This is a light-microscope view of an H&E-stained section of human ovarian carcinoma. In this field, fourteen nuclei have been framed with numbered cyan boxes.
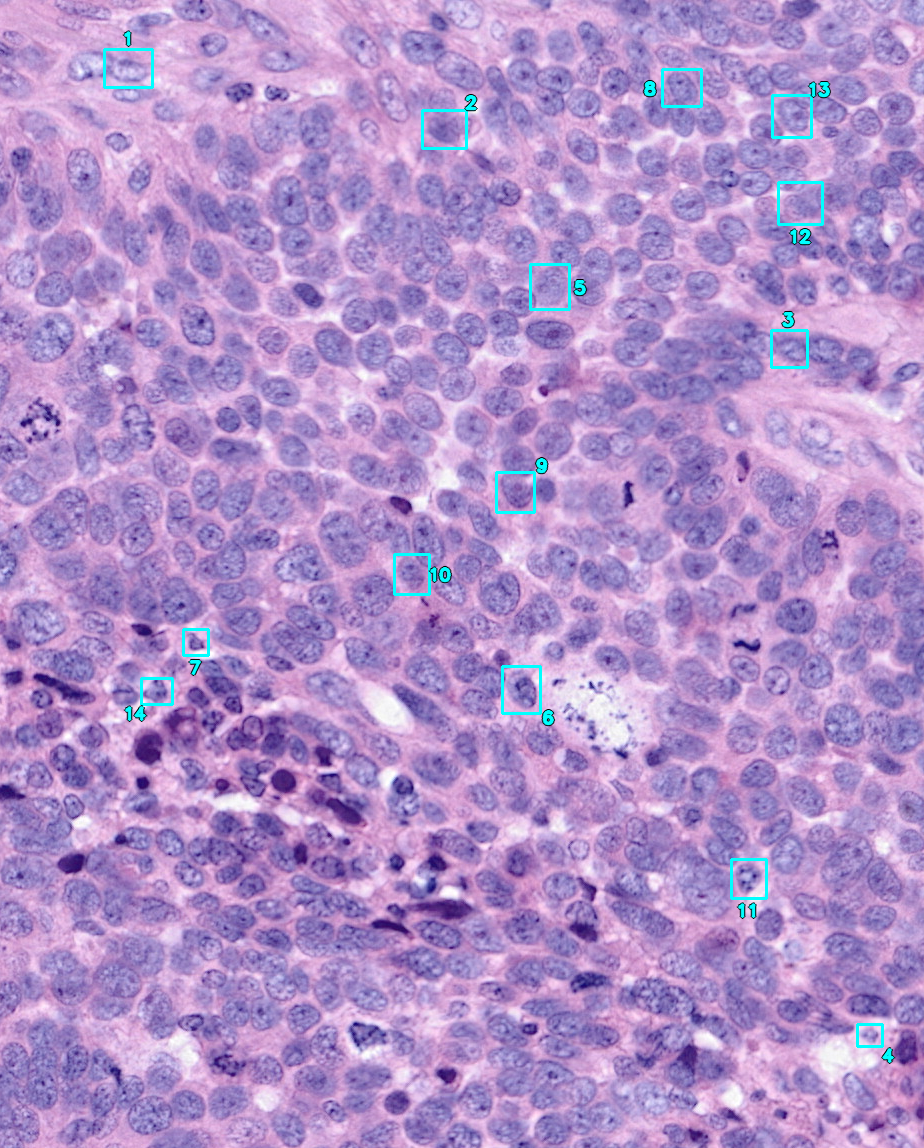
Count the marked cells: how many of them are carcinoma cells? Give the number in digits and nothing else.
8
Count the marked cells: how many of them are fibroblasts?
1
